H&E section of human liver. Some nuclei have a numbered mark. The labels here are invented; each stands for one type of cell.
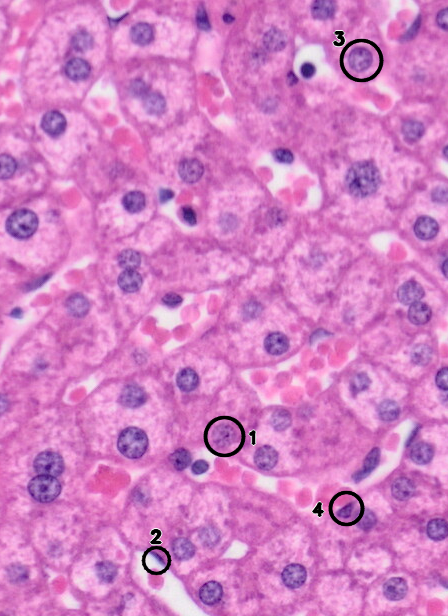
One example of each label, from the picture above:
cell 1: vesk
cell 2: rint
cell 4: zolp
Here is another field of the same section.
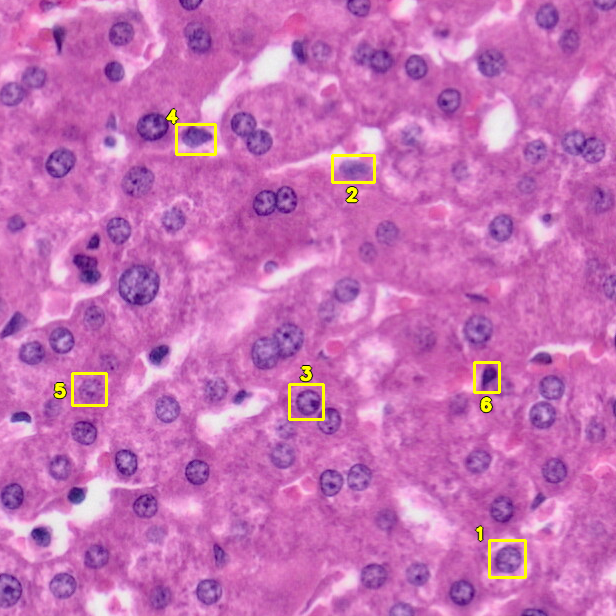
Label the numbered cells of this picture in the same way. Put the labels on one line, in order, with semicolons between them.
vesk; rint; vesk; rint; vesk; zolp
